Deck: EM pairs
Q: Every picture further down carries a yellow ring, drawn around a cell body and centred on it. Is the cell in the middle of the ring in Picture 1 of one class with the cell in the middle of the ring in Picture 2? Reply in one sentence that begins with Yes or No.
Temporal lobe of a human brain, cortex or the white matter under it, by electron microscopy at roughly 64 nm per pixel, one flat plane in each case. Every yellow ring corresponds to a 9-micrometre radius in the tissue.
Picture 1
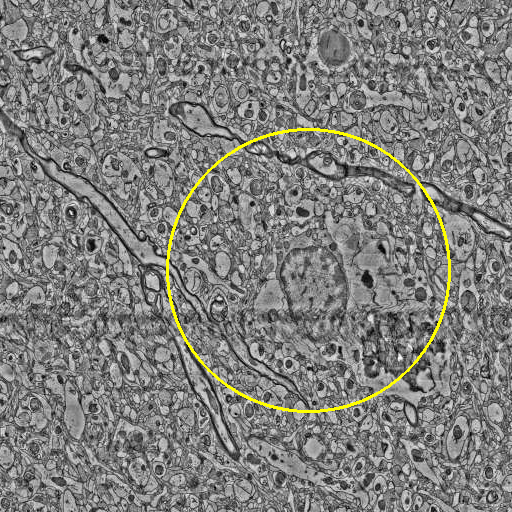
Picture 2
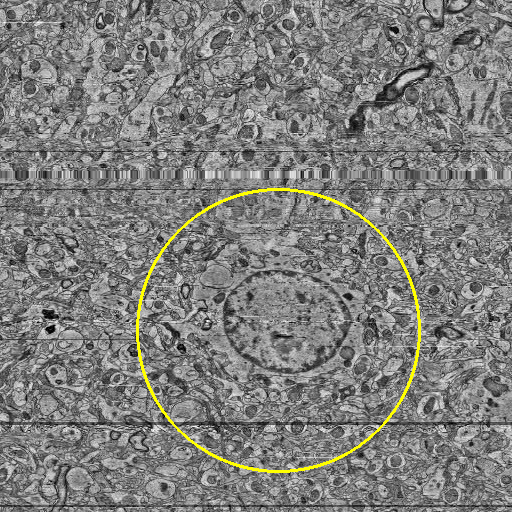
No, the cell centred in the ring of Picture 1 and the one in Picture 2 belong to separate classes.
